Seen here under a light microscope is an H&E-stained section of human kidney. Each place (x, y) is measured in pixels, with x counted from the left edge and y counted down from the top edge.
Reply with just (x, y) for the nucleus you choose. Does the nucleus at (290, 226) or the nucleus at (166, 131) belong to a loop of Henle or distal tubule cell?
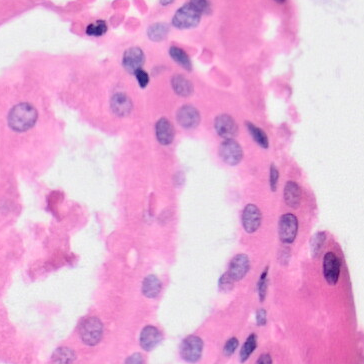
(166, 131)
